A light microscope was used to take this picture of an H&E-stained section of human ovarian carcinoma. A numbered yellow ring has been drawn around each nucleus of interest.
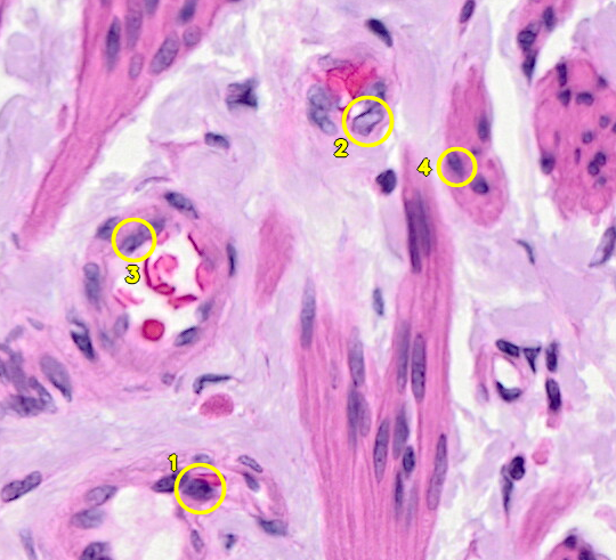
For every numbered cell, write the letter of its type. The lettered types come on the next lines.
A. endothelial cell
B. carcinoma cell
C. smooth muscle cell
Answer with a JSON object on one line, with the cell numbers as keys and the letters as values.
{"1": "A", "2": "A", "3": "A", "4": "C"}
